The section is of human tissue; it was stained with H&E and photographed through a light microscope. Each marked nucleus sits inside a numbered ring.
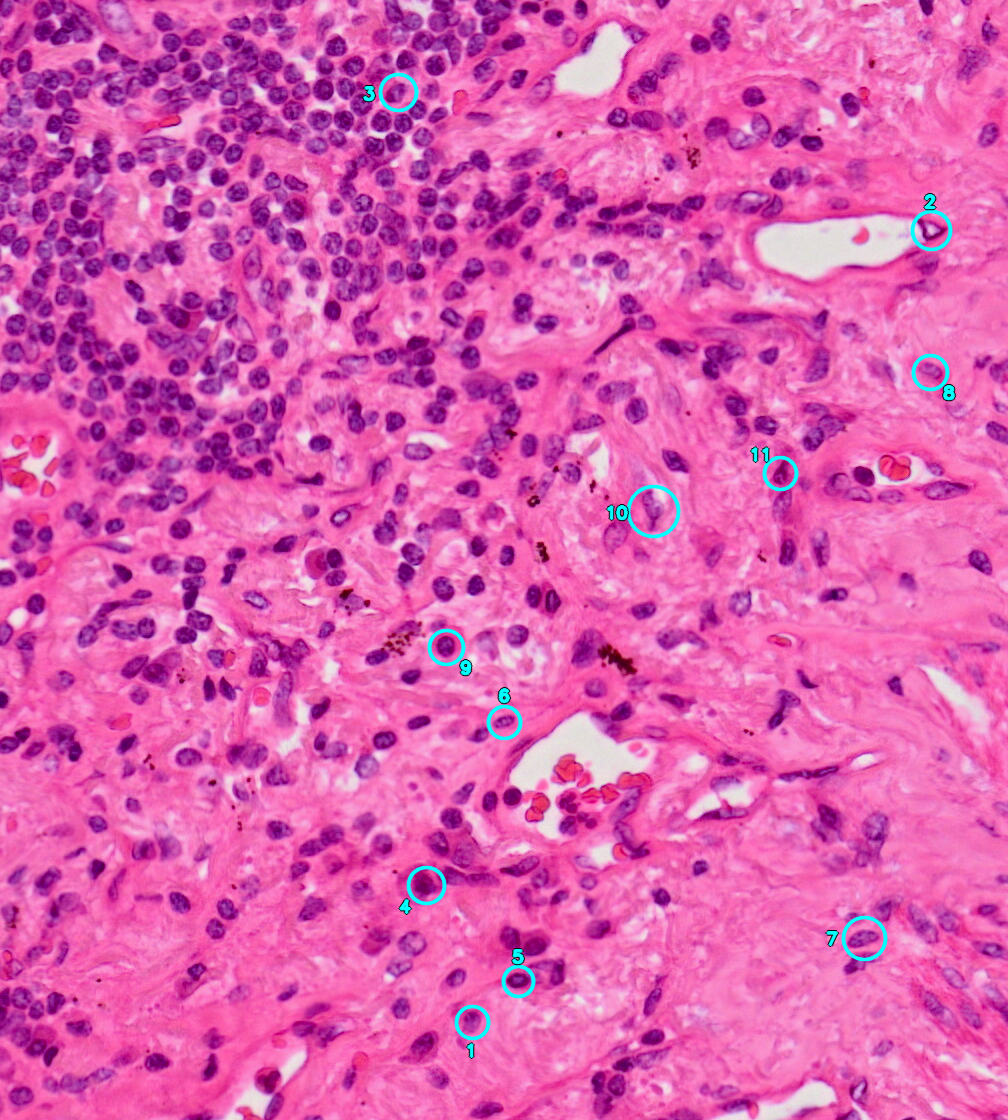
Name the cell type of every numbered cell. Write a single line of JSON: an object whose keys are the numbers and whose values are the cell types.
{"1": "plasma cell", "2": "endothelial cell", "3": "lymphocyte", "4": "plasma cell", "5": "mast cell", "6": "mast cell", "7": "mast cell", "8": "mast cell", "9": "mast cell", "10": "fibroblast", "11": "plasma cell"}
